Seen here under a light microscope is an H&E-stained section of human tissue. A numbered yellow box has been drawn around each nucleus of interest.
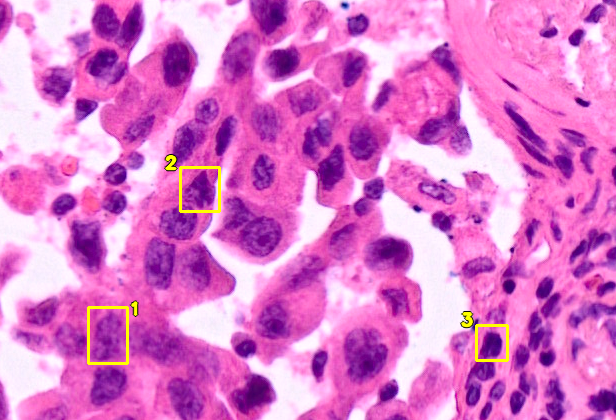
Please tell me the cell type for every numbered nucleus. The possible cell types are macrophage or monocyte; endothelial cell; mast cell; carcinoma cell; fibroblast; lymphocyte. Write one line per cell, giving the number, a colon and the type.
1: carcinoma cell
2: carcinoma cell
3: lymphocyte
